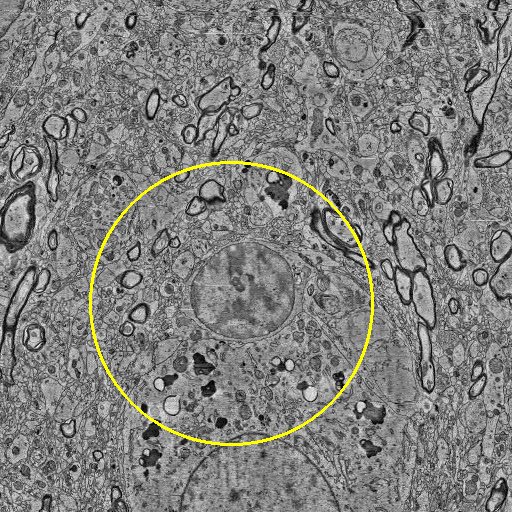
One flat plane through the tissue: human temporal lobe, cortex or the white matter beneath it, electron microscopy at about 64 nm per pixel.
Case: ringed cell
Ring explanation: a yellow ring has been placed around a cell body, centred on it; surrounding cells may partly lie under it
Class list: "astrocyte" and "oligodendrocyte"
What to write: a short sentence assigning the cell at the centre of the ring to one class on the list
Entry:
The cell at the ring's centre is an oligodendrocyte.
